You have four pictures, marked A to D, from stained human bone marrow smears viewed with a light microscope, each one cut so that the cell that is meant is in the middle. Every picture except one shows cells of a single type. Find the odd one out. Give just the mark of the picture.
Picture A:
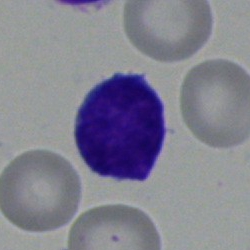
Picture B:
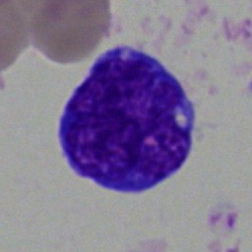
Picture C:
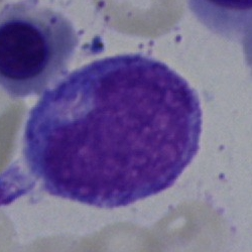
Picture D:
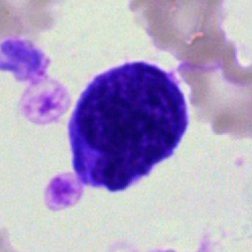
A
